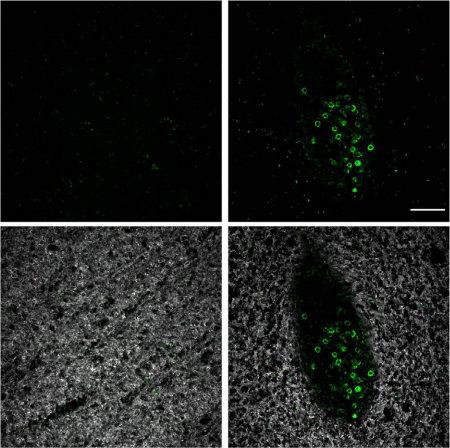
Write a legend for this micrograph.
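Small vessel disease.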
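In the left column the meshwork is fairly uniform, with faint streaks and only sparse tiny green specks. The green cells are roughly uniform in size and round in shape, and they lie within the space rather than among the surrounding fibres.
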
